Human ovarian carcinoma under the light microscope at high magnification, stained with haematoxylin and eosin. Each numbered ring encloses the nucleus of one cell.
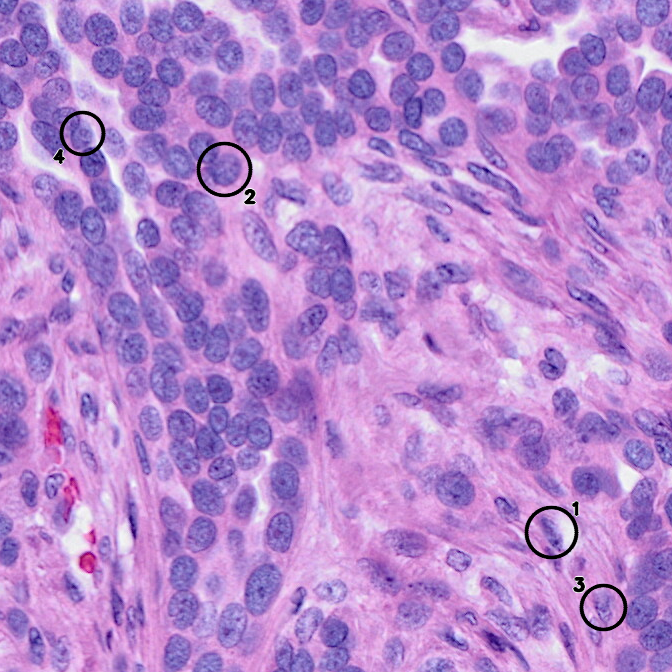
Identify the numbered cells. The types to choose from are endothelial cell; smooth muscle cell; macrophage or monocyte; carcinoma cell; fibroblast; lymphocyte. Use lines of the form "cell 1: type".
cell 1: fibroblast
cell 2: carcinoma cell
cell 3: fibroblast
cell 4: carcinoma cell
